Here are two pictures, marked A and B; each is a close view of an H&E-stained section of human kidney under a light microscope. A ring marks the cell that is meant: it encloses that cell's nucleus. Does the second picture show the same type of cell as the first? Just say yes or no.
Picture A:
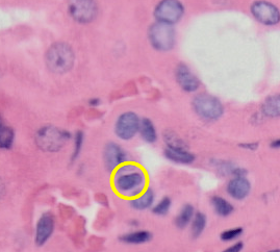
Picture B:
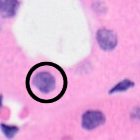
no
